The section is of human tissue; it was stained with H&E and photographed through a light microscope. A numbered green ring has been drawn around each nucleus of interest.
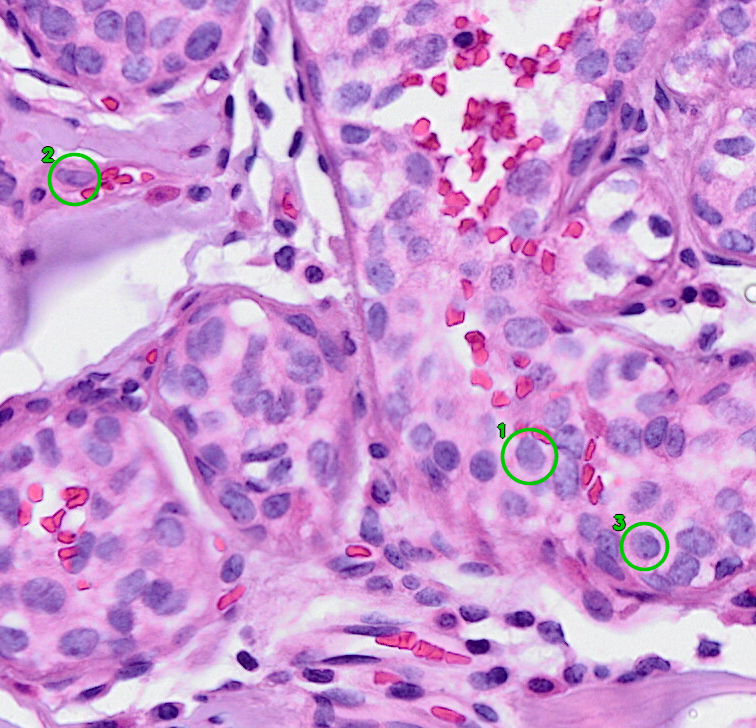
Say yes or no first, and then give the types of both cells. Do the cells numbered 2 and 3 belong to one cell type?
No, cell 2 is typed as an endothelial cell, and cell 3 is typed as a carcinoma cell.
